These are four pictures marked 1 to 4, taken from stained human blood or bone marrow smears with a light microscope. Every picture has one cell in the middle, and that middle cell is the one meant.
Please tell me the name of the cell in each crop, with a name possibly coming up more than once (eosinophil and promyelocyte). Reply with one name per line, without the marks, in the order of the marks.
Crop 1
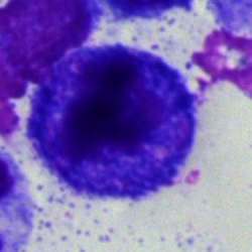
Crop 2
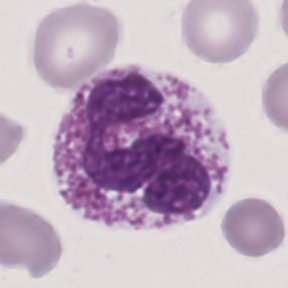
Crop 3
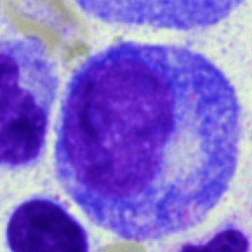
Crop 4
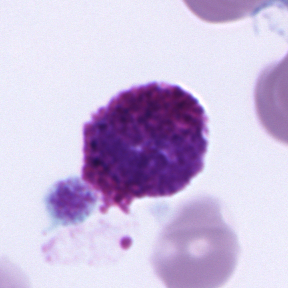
promyelocyte
eosinophil
promyelocyte
eosinophil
